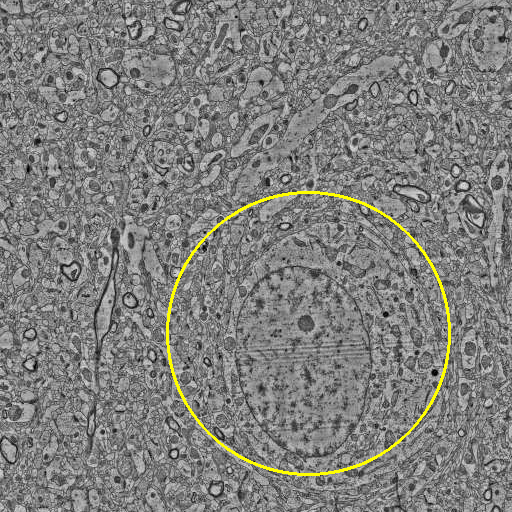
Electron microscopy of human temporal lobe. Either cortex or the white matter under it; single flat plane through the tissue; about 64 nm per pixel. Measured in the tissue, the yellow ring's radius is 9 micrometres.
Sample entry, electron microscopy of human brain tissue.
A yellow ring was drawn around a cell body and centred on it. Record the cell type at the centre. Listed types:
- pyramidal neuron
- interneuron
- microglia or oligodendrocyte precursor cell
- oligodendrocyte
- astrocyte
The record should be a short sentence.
The cell at the ring's centre is an interneuron.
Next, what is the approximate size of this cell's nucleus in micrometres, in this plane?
About 12 by 9 micrometres in this plane.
